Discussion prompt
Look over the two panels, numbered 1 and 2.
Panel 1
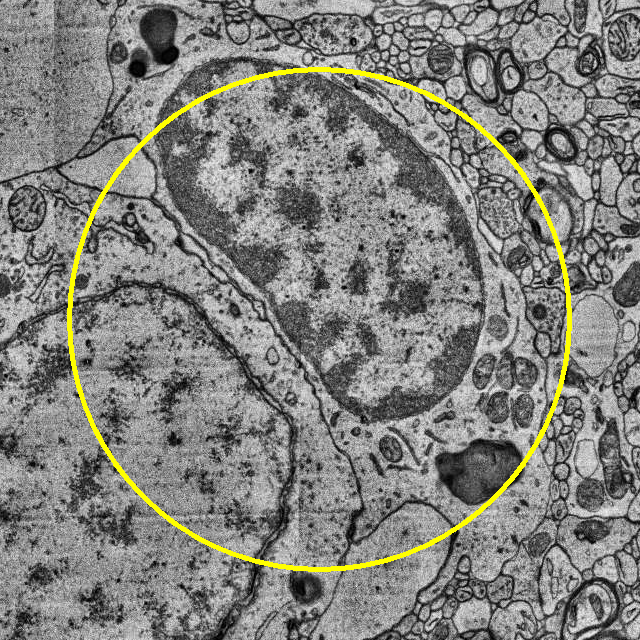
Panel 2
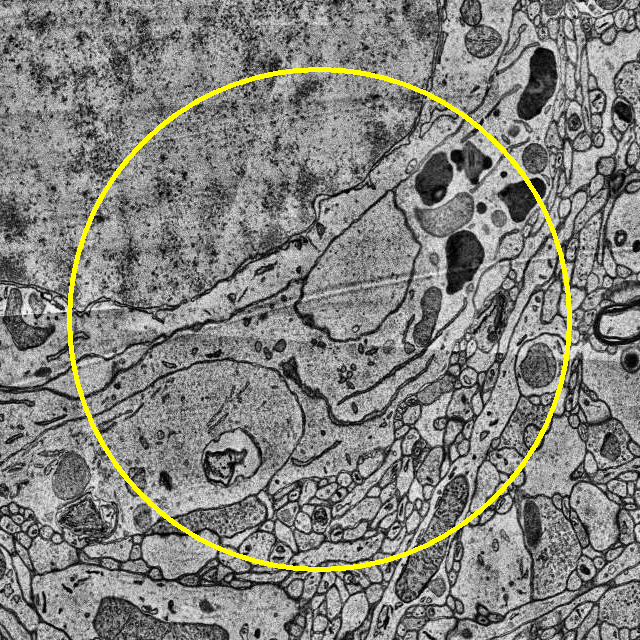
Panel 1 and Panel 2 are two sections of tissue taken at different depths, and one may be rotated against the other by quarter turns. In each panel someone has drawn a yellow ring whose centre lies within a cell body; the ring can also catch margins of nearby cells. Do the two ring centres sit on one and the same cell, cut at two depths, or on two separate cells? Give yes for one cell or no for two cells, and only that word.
no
